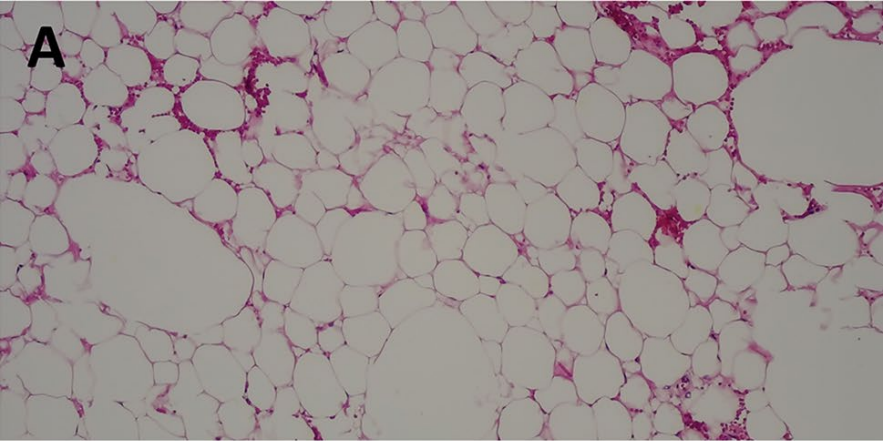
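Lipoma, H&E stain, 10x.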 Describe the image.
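This is fatty tissue made of mature adipocytes. The cells are closely packed and round to polygonal, each filled by one large clear space with only a thin pink membrane around it. Their sizes vary widely, with a few much larger than the rest. Small clusters of red blood cells sit in the narrow spaces between some cells, marking fine capillaries. There is little stroma and no dense fibrous tissue in view.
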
